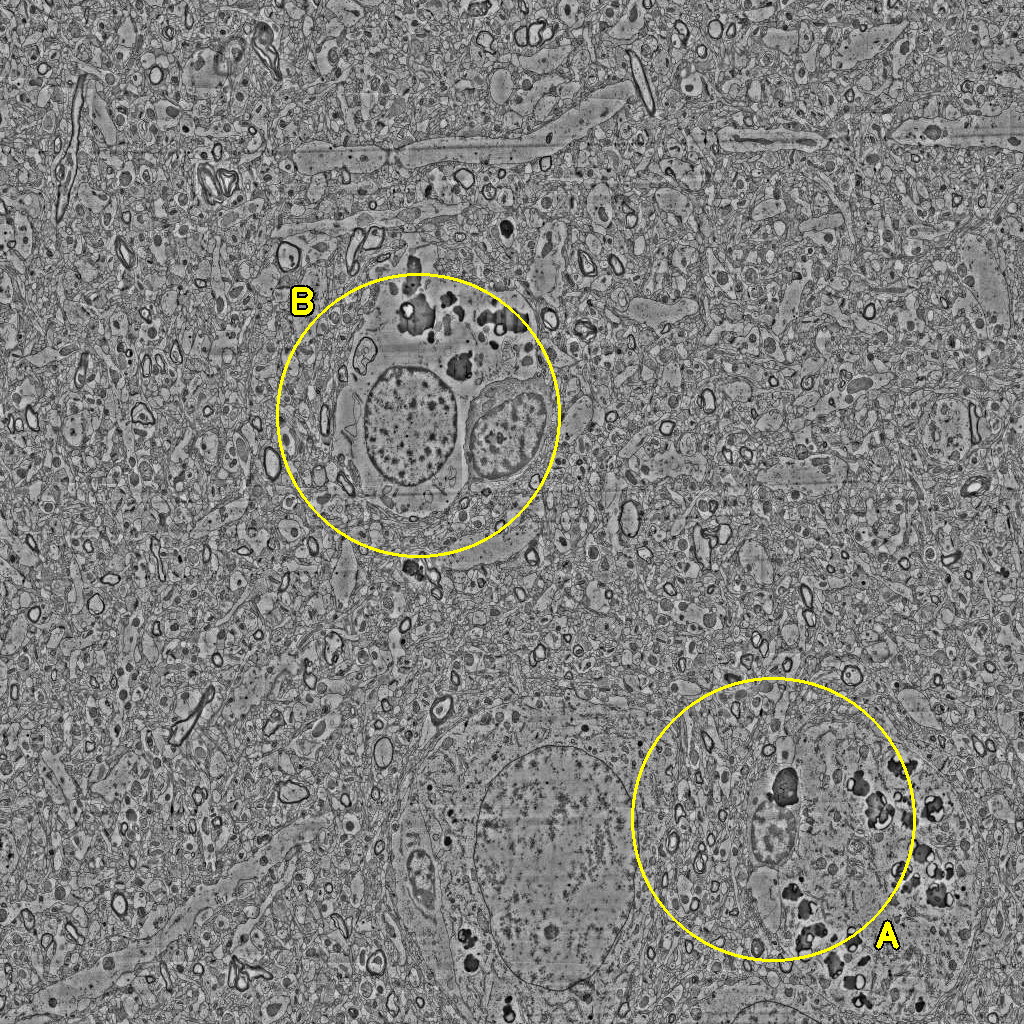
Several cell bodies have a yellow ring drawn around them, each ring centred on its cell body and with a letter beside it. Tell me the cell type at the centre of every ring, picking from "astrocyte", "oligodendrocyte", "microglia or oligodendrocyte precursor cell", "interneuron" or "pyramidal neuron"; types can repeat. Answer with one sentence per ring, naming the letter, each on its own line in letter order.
In ring A, the central cell is an oligodendrocyte.
In ring B, the central cell is an astrocyte.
